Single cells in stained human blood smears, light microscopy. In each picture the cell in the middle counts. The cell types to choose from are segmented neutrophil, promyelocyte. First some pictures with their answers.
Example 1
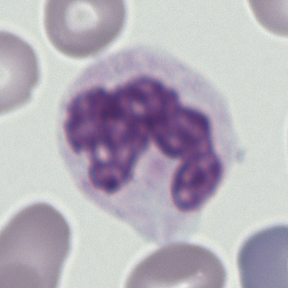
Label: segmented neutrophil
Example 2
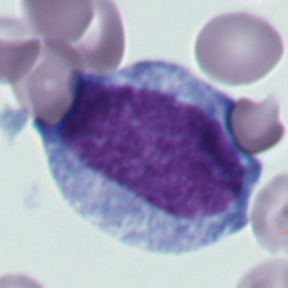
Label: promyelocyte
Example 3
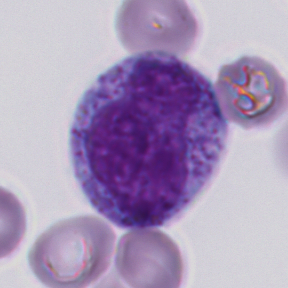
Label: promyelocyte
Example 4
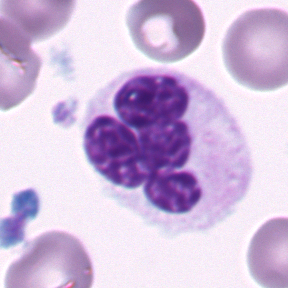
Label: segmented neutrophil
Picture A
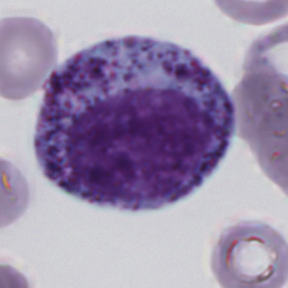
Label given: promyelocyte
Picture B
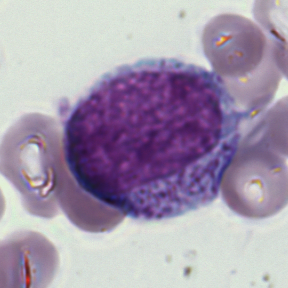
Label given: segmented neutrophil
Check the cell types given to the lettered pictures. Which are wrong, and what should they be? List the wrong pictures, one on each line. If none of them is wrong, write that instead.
B is labelled segmented neutrophil; correct label: promyelocyte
